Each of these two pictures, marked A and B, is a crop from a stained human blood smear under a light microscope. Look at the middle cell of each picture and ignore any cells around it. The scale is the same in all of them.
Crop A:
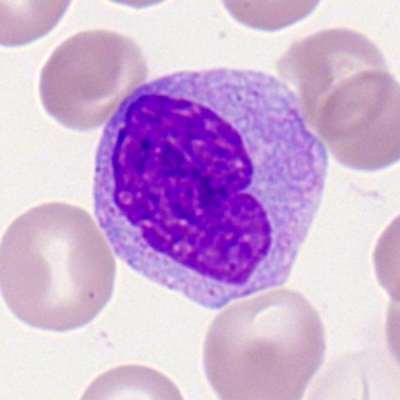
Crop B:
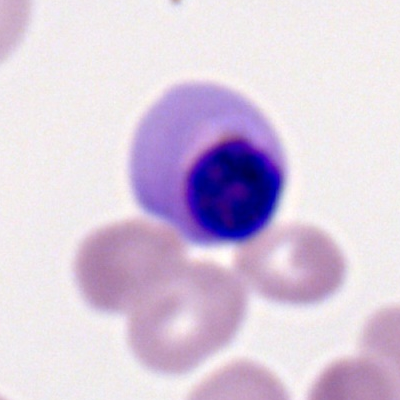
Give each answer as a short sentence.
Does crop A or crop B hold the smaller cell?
It is the cell in crop B; the cell in crop A has about 2 times its area.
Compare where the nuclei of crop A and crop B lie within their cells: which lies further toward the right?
In crop B the nucleus is shifted more toward the right.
